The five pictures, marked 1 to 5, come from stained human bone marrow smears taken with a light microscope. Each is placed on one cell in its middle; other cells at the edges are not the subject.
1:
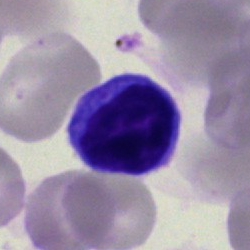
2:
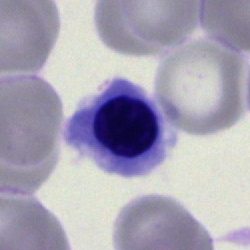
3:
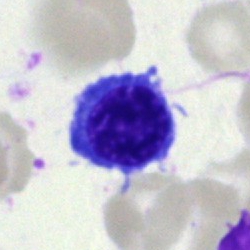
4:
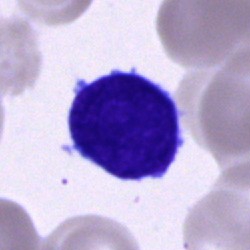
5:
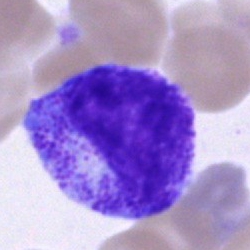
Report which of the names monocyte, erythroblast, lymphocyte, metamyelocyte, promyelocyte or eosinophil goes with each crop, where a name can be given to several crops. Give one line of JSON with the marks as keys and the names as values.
{"1": "lymphocyte", "2": "erythroblast", "3": "erythroblast", "4": "lymphocyte", "5": "promyelocyte"}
